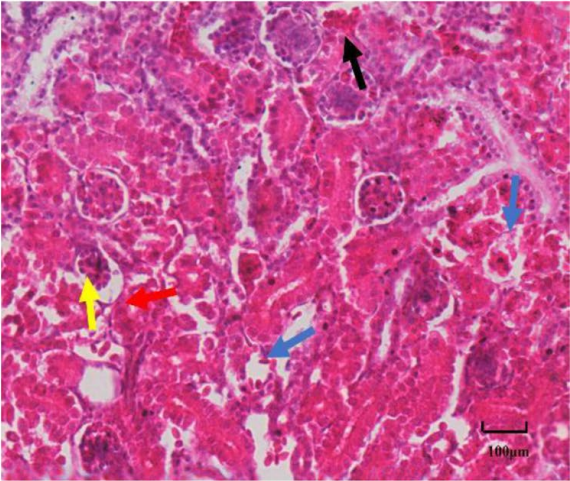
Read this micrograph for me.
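Kidney tissue with renal tubules and several glomeruli, stained more intensely red than usual. Small bright red blood cells gather in clusters in the interstitium between tubules, and some tubules have irregular, widened lumina with loosened epithelial cells. Glomeruli appear as round tufts of densely purple cells inside clear spaces, some small within their capsules.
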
